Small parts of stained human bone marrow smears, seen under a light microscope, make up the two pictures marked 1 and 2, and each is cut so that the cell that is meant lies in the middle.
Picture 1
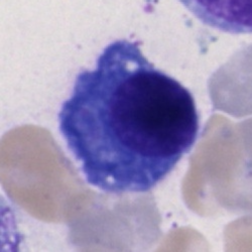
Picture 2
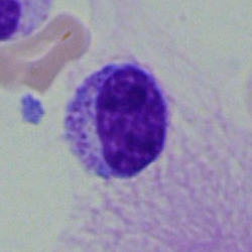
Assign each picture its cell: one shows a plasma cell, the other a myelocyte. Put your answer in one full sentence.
In picture 1 the cell is a plasma cell; in picture 2, a myelocyte.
